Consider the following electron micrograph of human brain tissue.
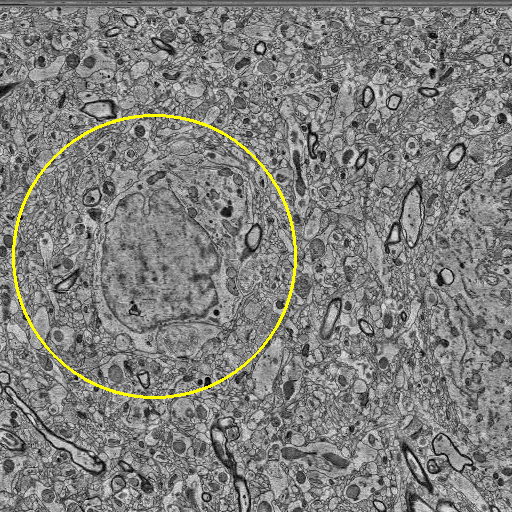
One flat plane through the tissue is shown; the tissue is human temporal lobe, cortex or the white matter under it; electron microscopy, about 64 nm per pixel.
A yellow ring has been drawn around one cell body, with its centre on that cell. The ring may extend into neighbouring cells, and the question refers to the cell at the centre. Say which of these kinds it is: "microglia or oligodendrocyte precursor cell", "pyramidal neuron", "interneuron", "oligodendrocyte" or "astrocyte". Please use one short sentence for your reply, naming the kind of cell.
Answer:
The centre of the ring falls on an interneuron.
